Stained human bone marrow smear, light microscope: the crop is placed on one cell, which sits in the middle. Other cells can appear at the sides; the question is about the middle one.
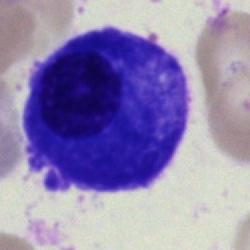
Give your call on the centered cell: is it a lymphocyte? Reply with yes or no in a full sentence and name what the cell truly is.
No, mark the middle cell as a plasma cell, not a lymphocyte.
